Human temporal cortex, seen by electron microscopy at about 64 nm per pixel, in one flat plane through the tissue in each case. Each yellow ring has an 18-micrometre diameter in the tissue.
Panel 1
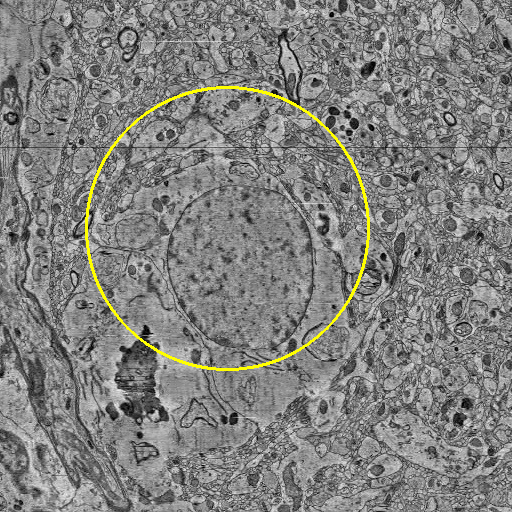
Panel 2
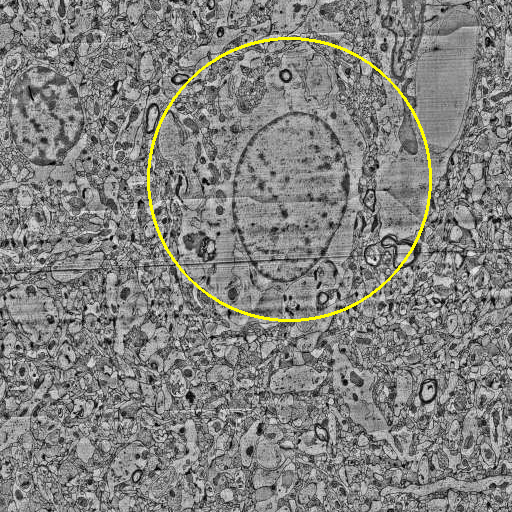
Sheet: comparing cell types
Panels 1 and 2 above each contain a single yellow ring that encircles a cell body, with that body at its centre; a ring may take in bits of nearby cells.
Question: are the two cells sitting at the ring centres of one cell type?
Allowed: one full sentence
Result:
Yes, the ring-centre cells in Panel 1 and Panel 2 are of one type.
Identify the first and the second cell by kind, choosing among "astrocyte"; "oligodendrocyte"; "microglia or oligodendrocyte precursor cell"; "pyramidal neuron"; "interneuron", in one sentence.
Each of the two rings is centred on an astrocyte.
